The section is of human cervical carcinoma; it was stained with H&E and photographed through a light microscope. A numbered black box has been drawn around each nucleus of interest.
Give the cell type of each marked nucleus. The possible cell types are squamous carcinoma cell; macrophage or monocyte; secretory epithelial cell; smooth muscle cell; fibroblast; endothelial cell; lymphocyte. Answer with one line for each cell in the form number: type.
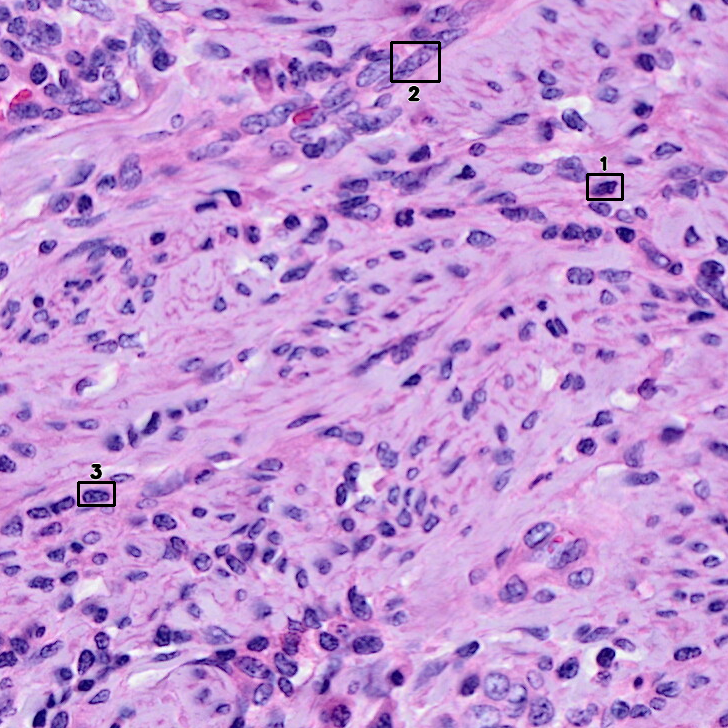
1: lymphocyte
2: endothelial cell
3: lymphocyte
